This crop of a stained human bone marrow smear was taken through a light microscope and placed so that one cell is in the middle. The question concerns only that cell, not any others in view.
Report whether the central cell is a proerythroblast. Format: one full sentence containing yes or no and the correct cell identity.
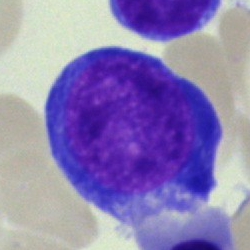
Yes, the cell at the very centre of the crop is a proerythroblast.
